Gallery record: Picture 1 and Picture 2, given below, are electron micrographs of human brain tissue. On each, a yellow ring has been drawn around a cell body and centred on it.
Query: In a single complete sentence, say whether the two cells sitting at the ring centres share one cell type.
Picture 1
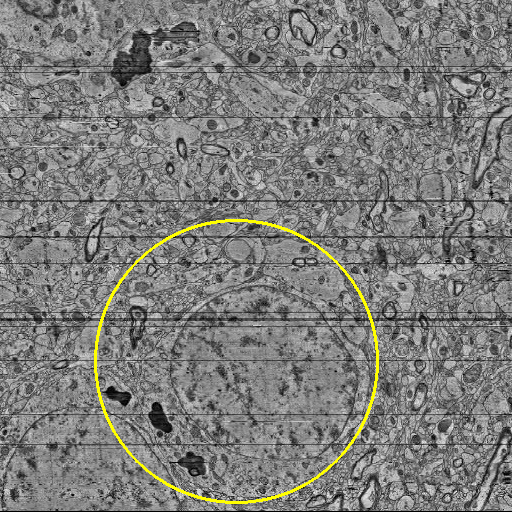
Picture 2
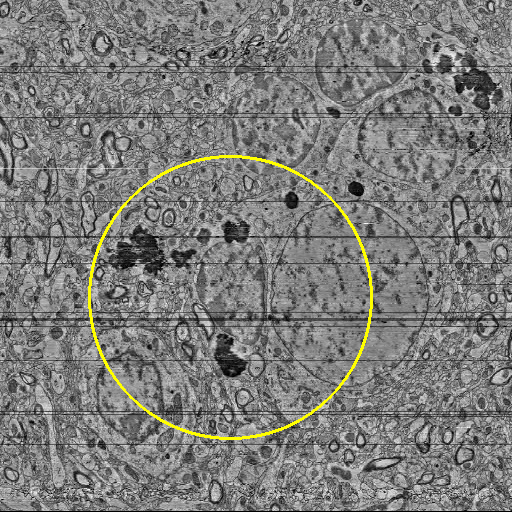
No, in the two pictures the cells at the rings' centres are of two separate types.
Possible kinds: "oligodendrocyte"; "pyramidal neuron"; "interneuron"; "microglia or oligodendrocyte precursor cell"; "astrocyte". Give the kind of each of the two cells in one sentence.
The cell in the second picture is an oligodendrocyte, and that in the first is a pyramidal neuron.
